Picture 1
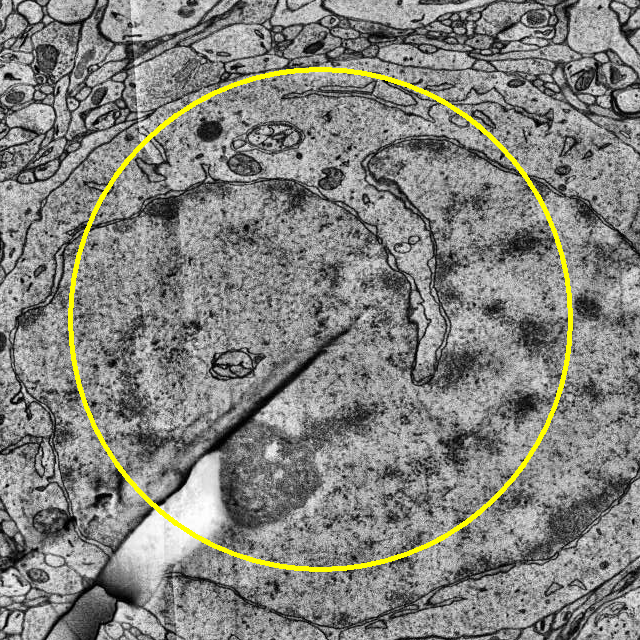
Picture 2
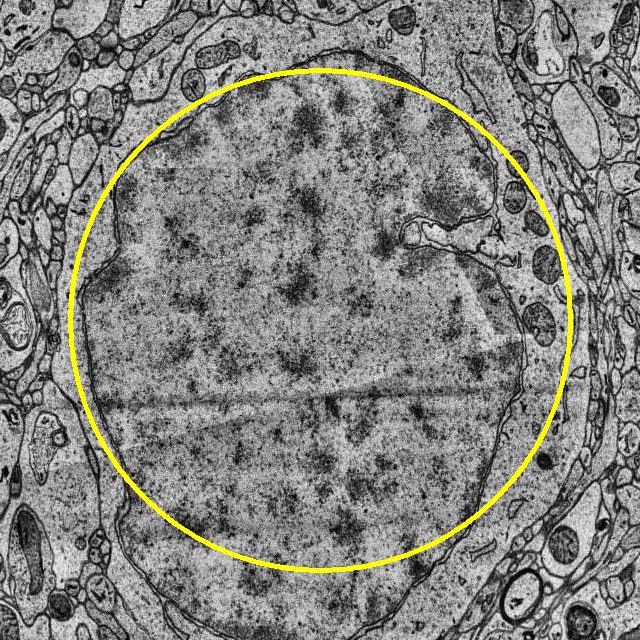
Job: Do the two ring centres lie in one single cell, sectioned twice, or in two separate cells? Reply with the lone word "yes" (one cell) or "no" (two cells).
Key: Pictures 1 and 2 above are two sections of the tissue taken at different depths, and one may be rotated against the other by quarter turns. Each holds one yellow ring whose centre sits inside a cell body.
yes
